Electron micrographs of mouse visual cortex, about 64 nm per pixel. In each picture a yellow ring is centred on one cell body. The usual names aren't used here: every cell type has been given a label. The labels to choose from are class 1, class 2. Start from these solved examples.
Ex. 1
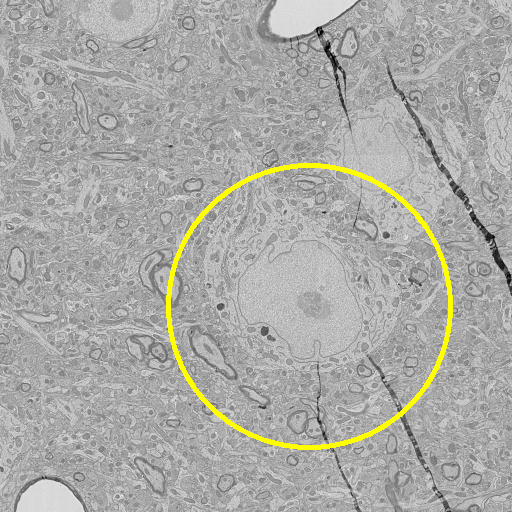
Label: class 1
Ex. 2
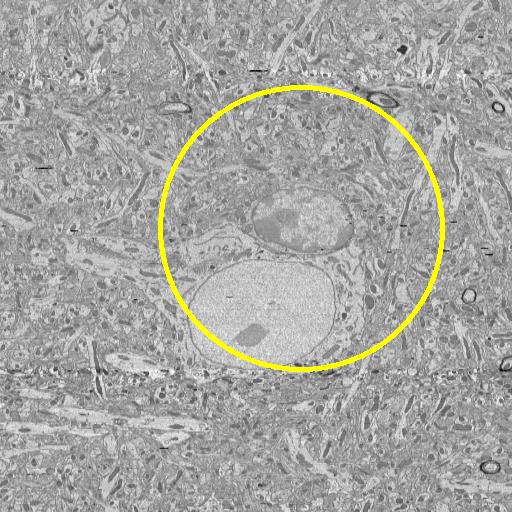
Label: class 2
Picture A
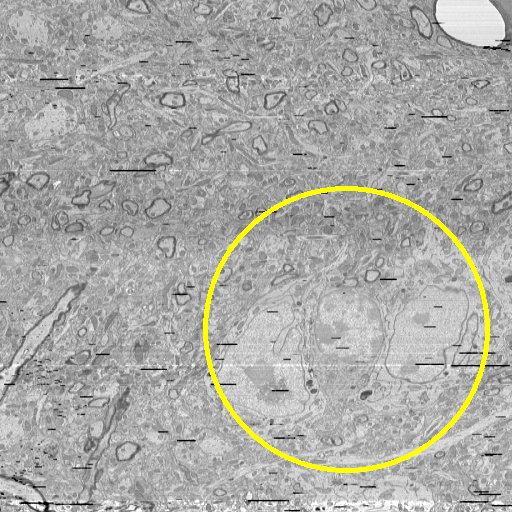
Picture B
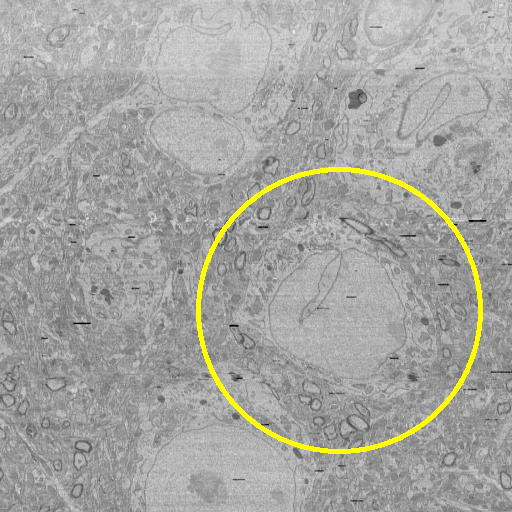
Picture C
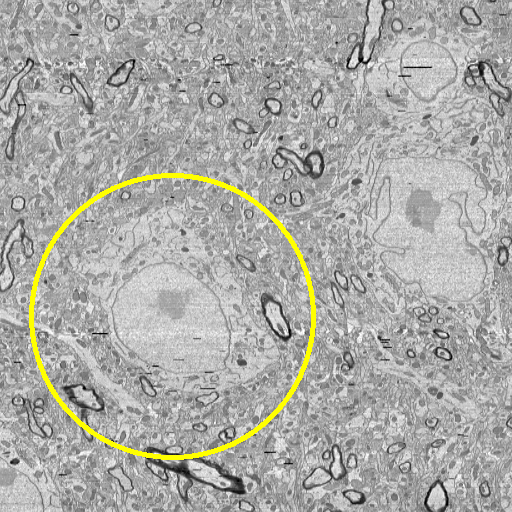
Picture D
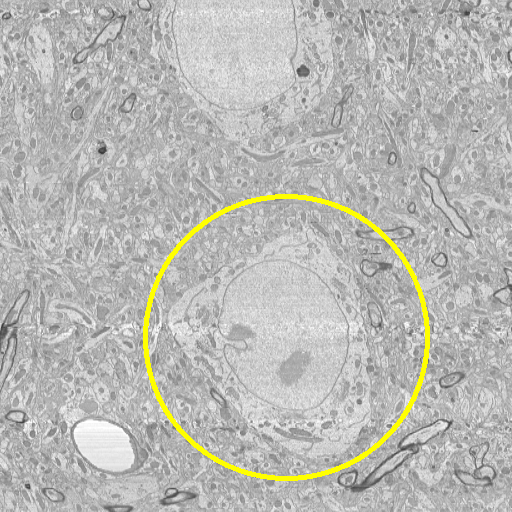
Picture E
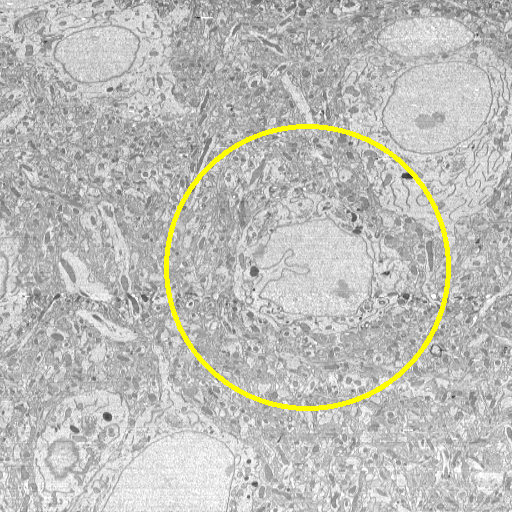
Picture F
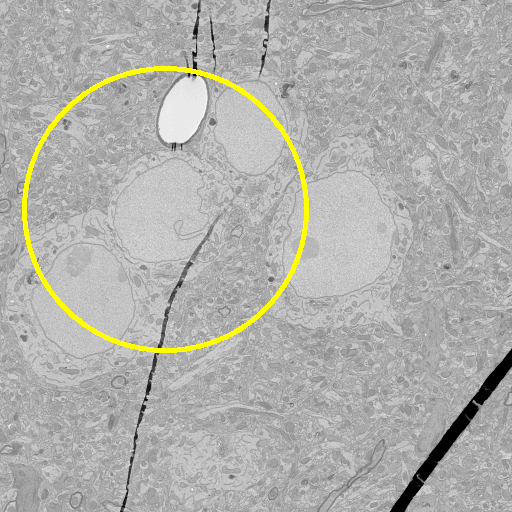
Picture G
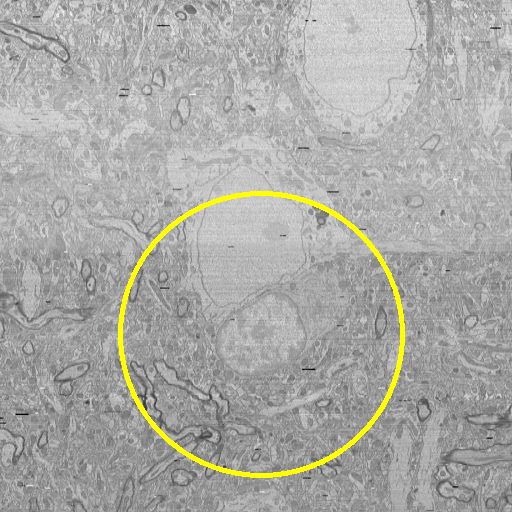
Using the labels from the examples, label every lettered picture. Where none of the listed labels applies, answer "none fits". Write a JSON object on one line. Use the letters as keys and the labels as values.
{"A": "class 2", "B": "class 1", "C": "none fits", "D": "none fits", "E": "class 1", "F": "class 1", "G": "class 2"}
